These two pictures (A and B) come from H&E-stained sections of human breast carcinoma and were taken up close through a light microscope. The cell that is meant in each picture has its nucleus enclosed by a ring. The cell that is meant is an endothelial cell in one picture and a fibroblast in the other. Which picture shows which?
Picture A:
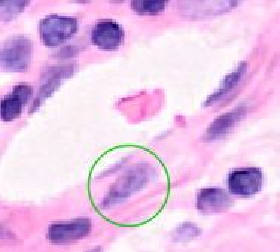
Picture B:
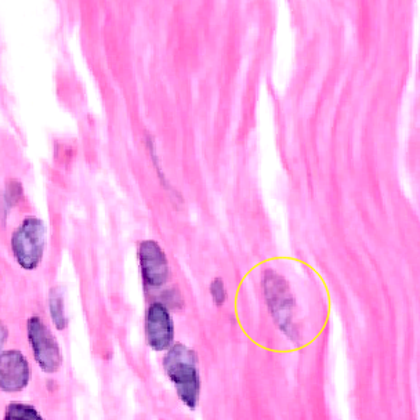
A: endothelial cell
B: fibroblast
